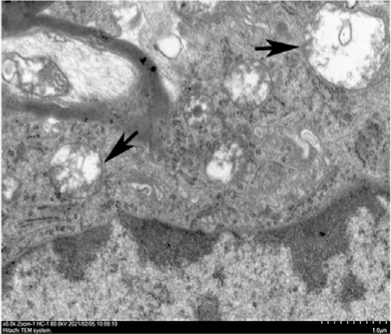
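The edge of the nucleus runs across the lower part, with dark heterochromatin clumped against the envelope. In the cytoplasm lie several rounded vacuoles bounded by membrane and filled with pale, wispy material, two of them marked by arrows. A dark myelin sheath around an axon crosses the upper left corner.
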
